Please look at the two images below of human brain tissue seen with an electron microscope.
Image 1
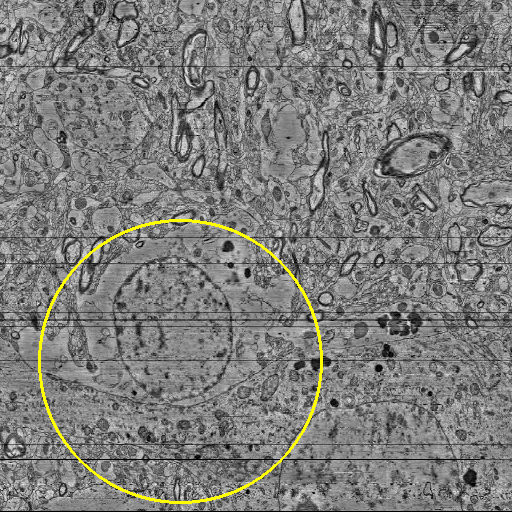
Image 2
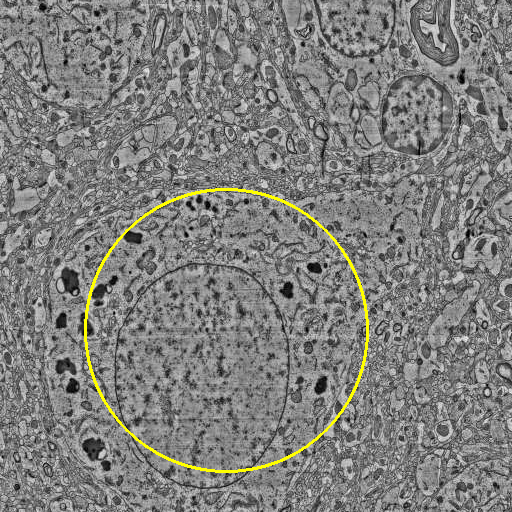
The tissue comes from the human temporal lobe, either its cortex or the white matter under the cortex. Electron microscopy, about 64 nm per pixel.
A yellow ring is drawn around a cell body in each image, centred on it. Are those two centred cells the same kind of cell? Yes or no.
no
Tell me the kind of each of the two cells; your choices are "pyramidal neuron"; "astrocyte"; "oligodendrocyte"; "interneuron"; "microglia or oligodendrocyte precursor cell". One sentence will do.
The ringed cell is an astrocyte in the first picture and a pyramidal neuron in the second picture.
